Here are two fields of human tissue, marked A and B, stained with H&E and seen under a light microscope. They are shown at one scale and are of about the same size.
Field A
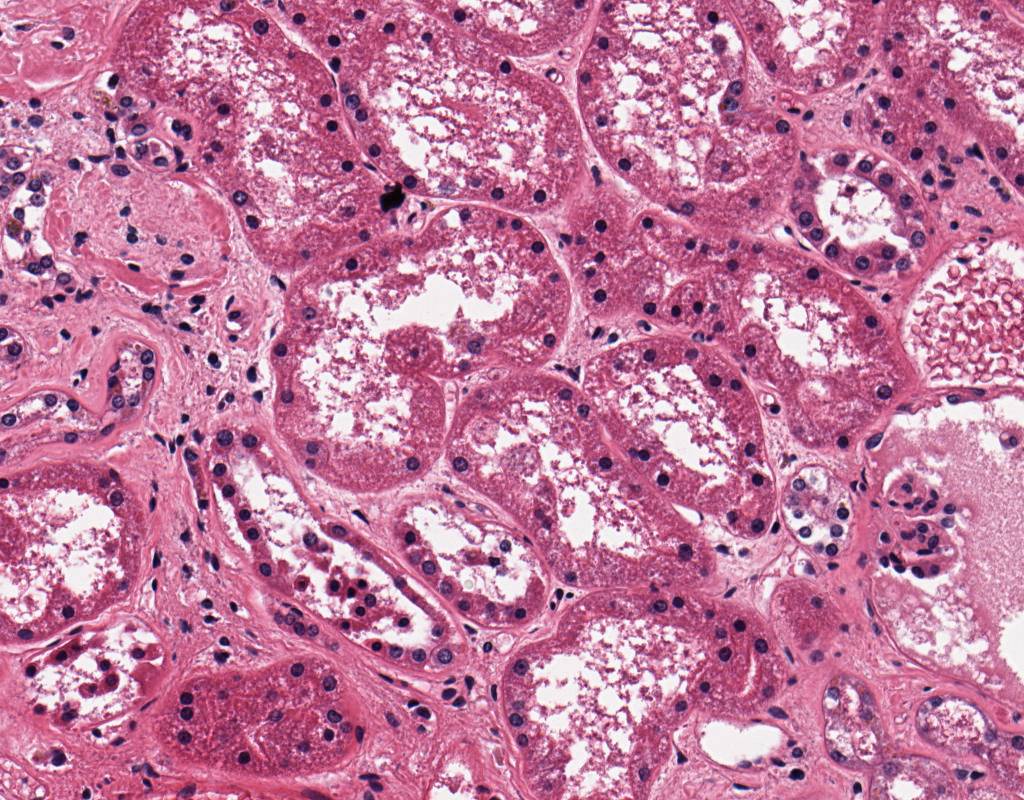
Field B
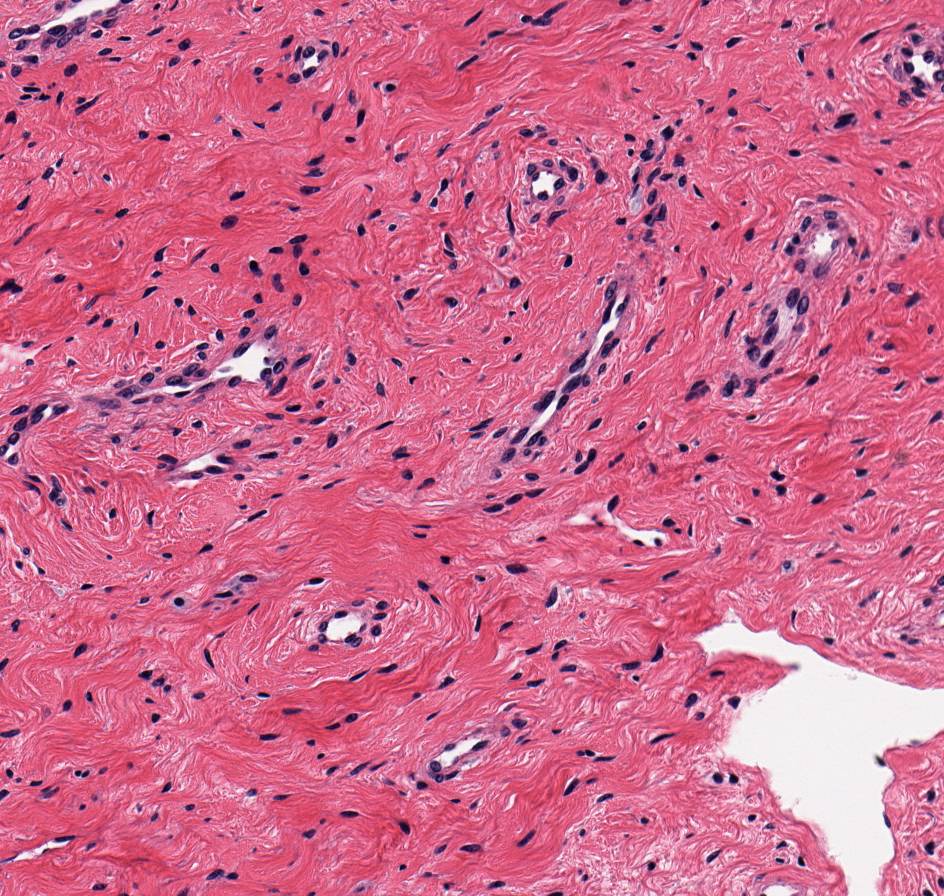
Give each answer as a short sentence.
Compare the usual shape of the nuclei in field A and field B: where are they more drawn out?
The nuclei are more elongated in field B.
